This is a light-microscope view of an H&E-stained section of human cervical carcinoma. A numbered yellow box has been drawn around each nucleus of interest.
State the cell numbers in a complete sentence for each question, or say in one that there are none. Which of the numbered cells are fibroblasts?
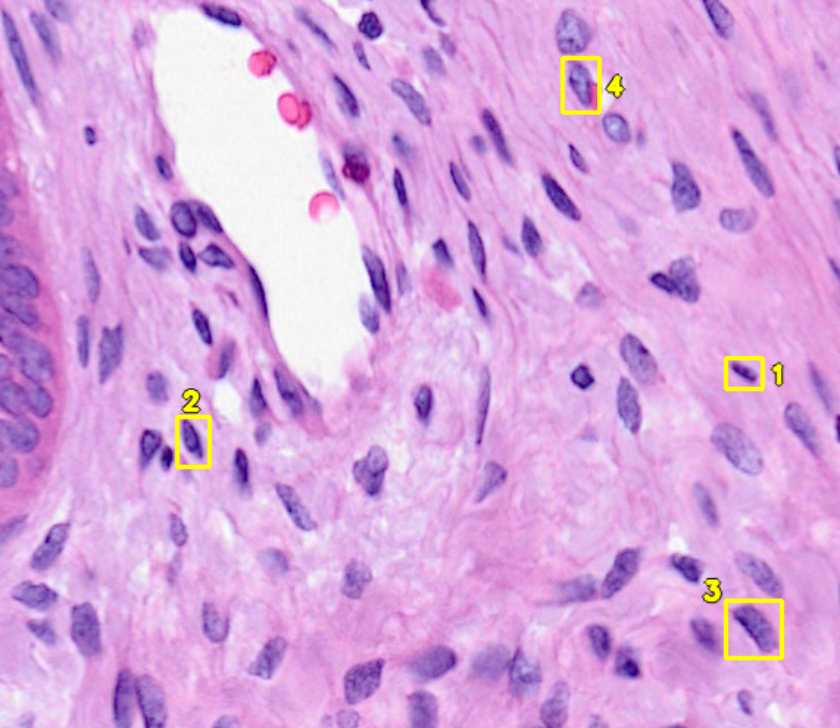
The cells marked by the numbers 1, 2 and 3 are fibroblasts.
